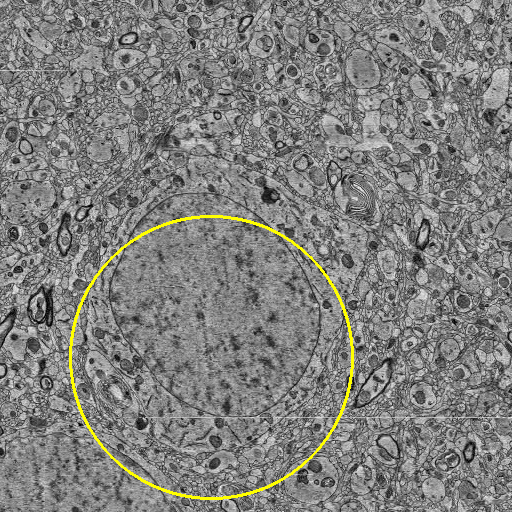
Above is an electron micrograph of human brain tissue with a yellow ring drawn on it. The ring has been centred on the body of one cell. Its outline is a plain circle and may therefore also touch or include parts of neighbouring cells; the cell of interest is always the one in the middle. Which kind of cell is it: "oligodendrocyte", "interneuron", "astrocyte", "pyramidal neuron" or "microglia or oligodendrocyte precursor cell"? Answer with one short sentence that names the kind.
The ring's central cell body is that of a pyramidal neuron.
